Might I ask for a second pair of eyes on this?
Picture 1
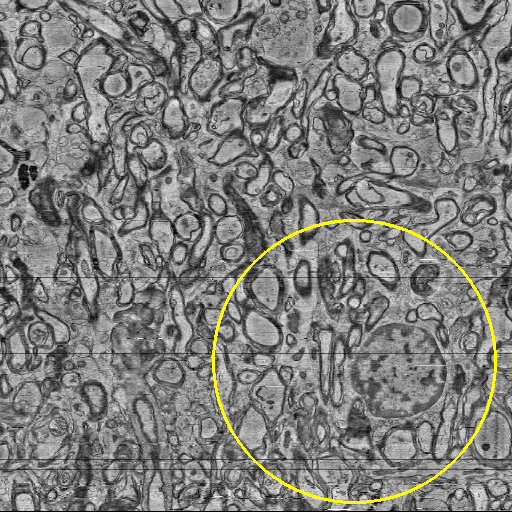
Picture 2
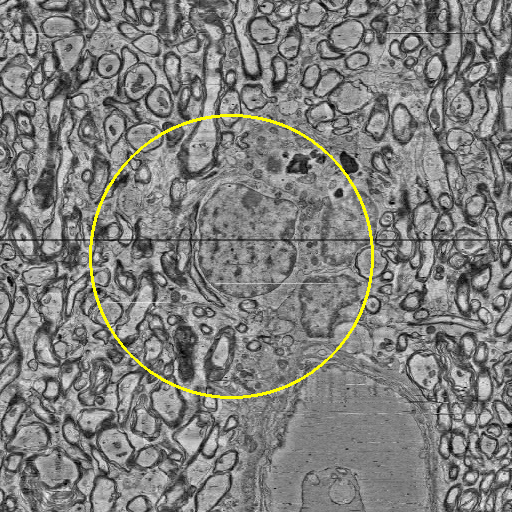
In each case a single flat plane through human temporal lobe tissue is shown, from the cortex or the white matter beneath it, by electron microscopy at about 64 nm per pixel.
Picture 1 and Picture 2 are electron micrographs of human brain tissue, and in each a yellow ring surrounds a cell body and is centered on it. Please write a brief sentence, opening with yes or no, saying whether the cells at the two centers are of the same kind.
Yes, the cells are of the same kind.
